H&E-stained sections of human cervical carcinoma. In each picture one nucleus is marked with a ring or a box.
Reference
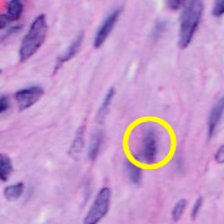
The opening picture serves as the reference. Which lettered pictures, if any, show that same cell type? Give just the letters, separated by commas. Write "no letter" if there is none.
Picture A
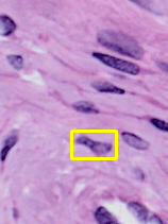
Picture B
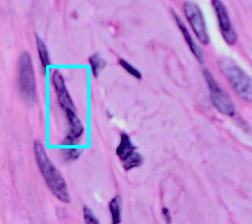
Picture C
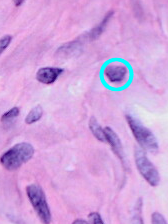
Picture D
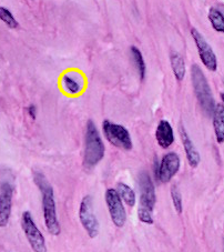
A, B, C, D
